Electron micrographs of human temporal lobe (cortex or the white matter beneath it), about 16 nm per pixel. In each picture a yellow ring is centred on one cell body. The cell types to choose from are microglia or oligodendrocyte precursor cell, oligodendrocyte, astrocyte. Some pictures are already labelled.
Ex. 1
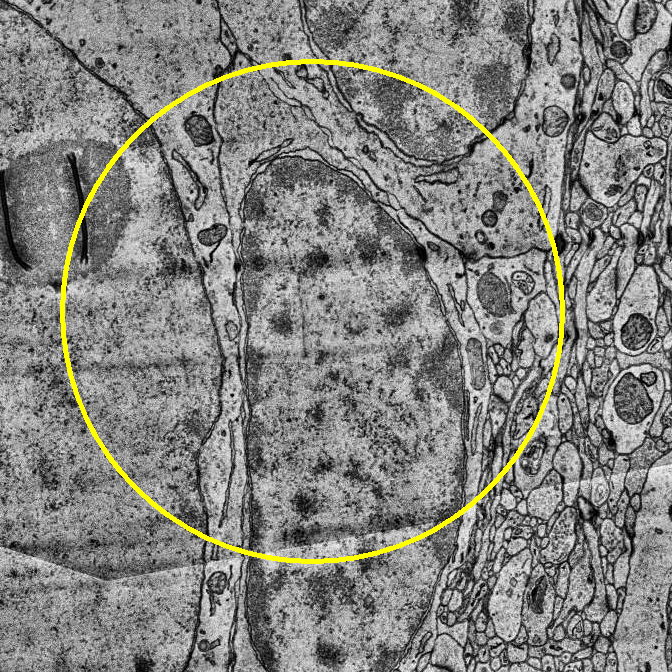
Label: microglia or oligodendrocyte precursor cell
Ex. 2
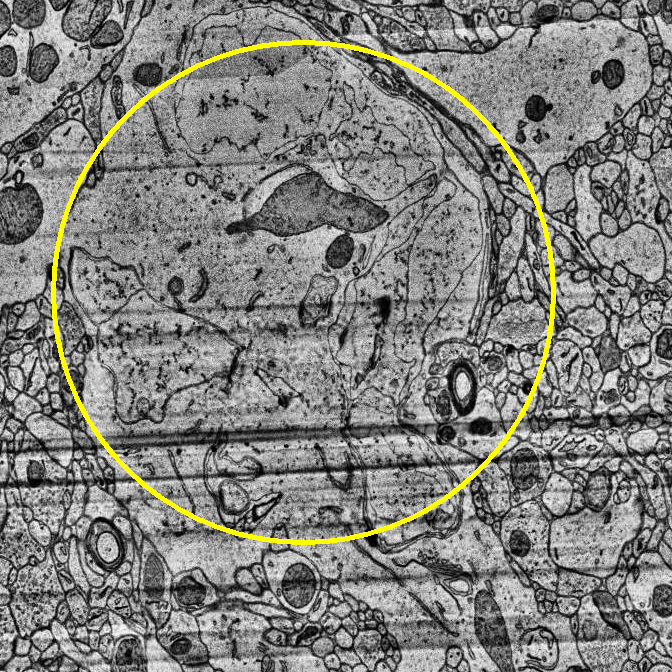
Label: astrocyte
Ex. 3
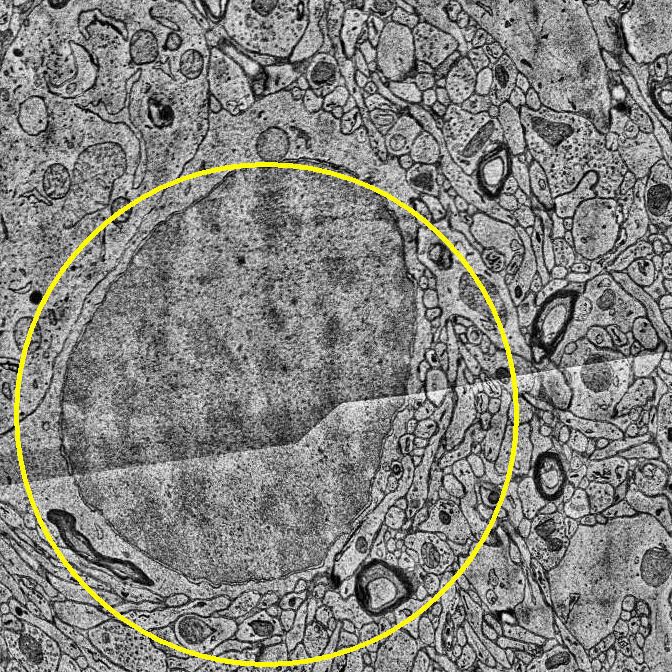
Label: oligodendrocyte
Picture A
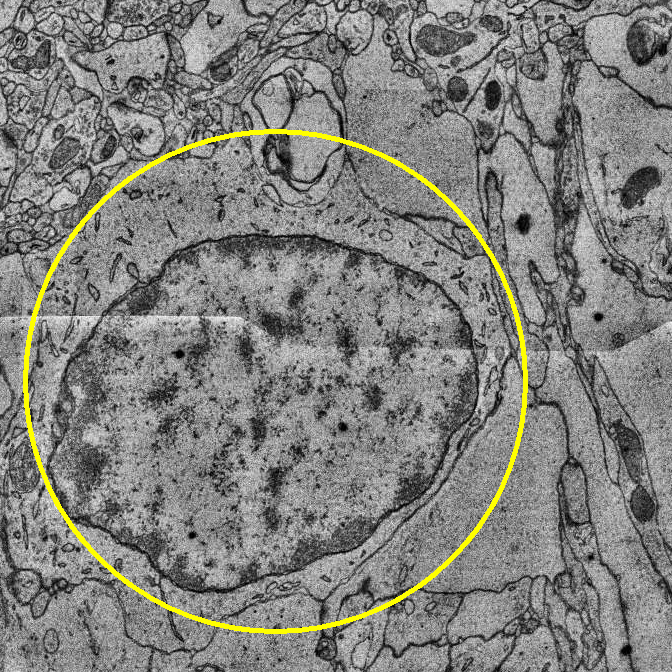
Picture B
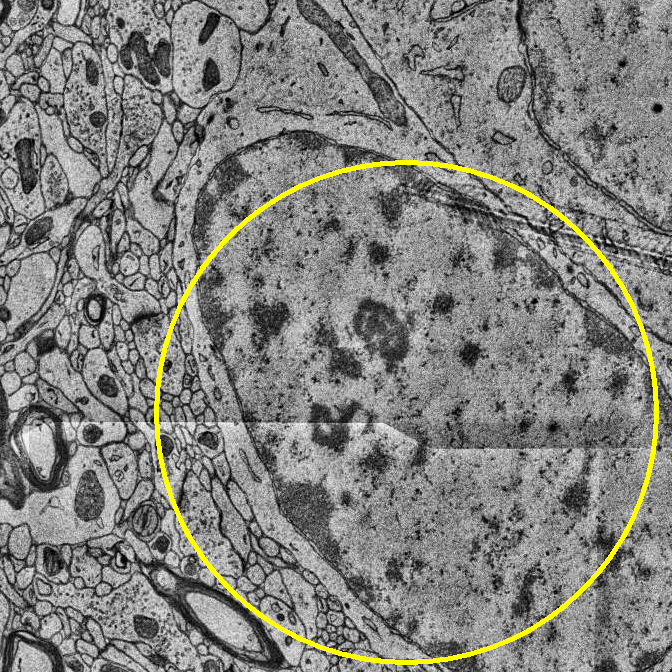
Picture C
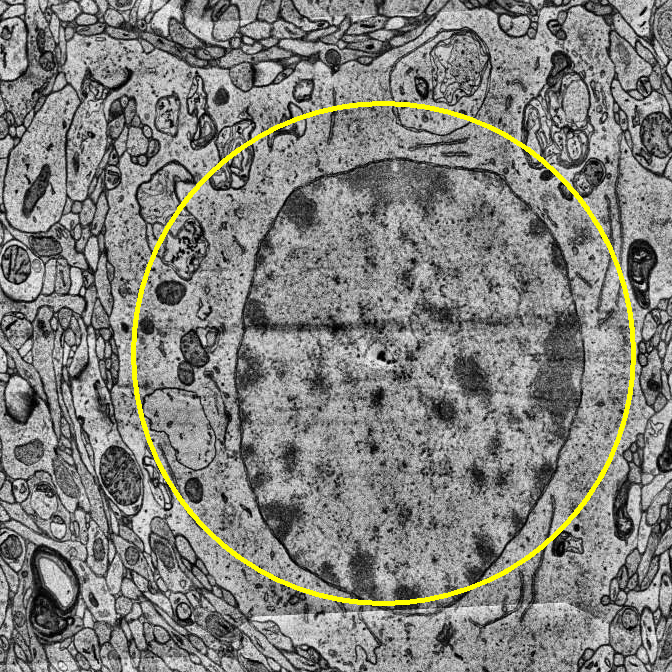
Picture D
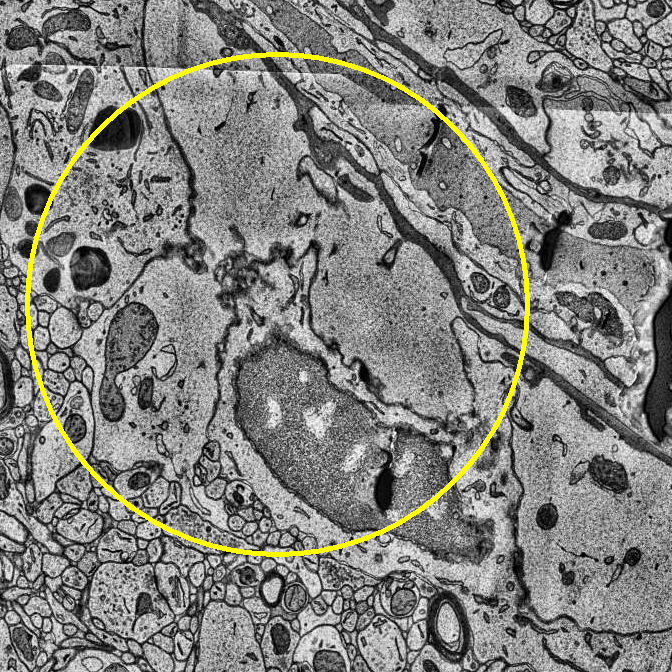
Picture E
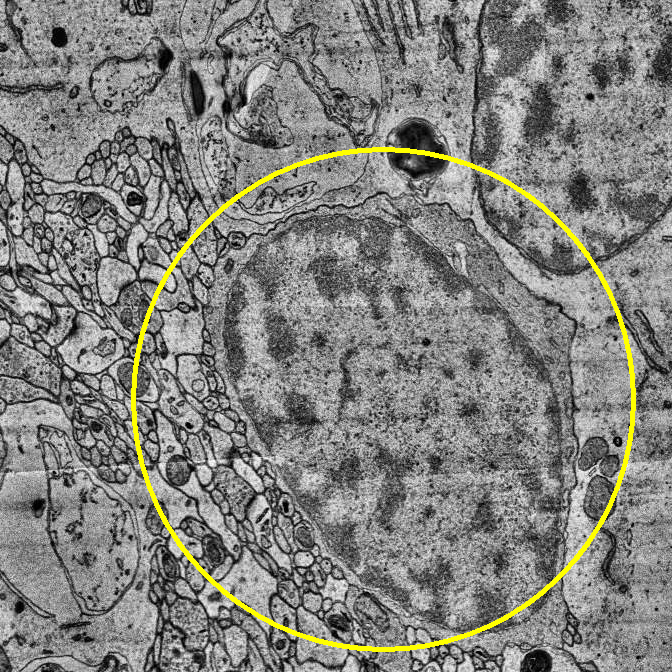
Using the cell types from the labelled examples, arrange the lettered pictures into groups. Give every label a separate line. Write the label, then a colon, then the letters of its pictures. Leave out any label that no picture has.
microglia or oligodendrocyte precursor cell: A, B, D
oligodendrocyte: E
astrocyte: C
